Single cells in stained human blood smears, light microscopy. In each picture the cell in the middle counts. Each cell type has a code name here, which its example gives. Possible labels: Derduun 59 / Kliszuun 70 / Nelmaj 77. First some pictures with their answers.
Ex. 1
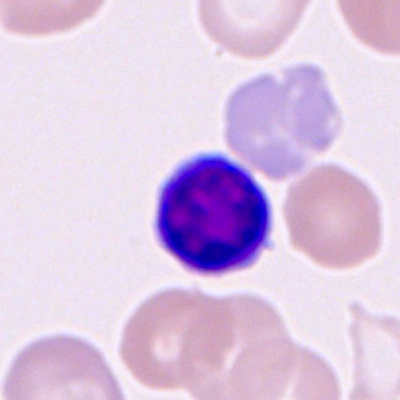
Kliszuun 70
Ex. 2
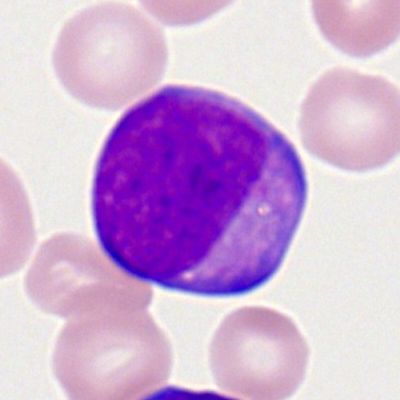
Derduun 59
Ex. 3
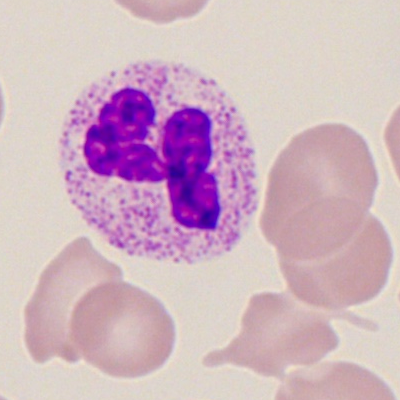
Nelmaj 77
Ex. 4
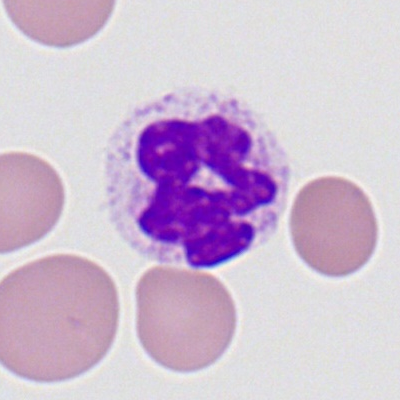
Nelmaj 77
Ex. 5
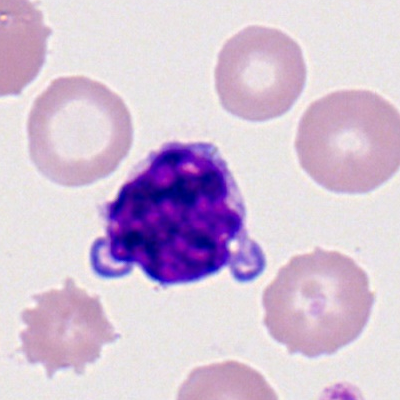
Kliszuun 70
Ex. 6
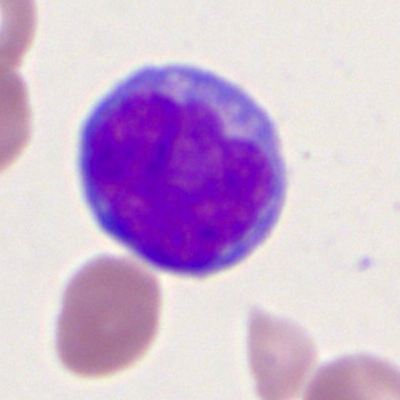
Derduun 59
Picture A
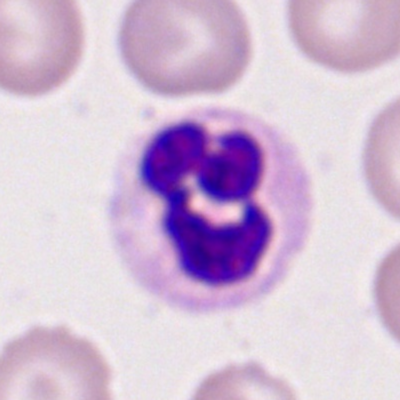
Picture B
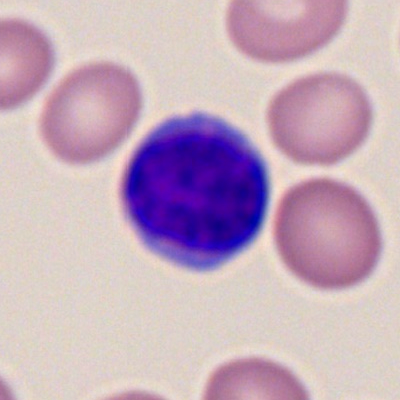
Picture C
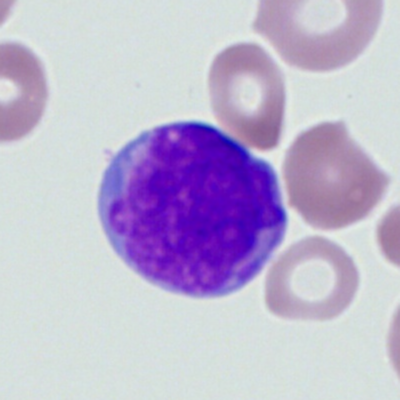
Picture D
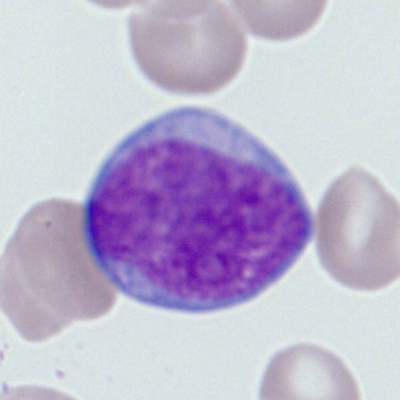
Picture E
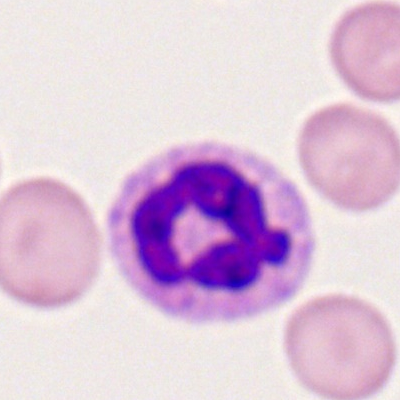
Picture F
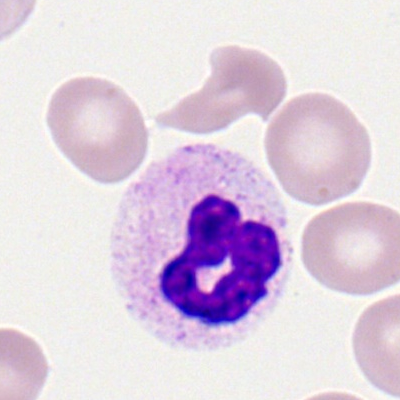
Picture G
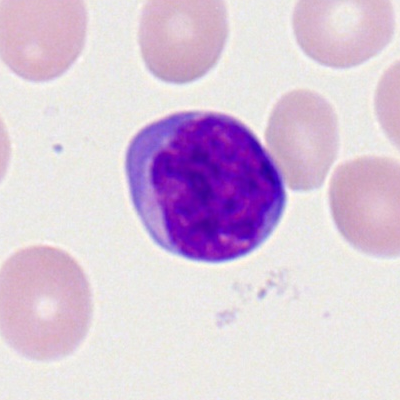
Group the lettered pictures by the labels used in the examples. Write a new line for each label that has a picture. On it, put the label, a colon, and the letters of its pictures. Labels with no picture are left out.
Derduun 59: C, D
Kliszuun 70: B, G
Nelmaj 77: A, E, F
